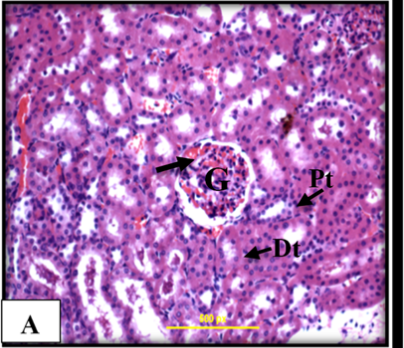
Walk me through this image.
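This is kidney cortex, with a glomerulus in the centre surrounded by proximal and distal tubules. The glomerulus is a round tuft of capillaries crowded with small dark purple nuclei, separated from its thin enclosing capsule by a narrow clear space. Around it, the proximal tubules are lined by cells with abundant pink cytoplasm that leave only a small, somewhat ragged lumen. A few red blood cells fill small vessels between the tubules, and the tubules themselves sit close together with little tissue between them.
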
